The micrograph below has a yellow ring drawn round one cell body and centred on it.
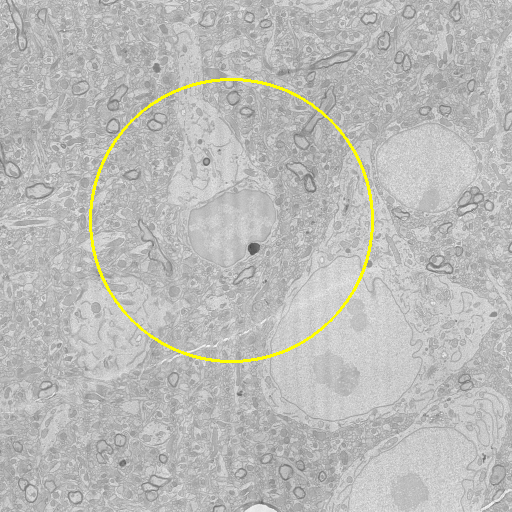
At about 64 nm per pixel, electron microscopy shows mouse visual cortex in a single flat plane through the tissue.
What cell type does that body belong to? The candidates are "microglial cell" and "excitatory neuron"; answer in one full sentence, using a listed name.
This is a microglial cell, the cell whose body lies at the centre of the ring.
